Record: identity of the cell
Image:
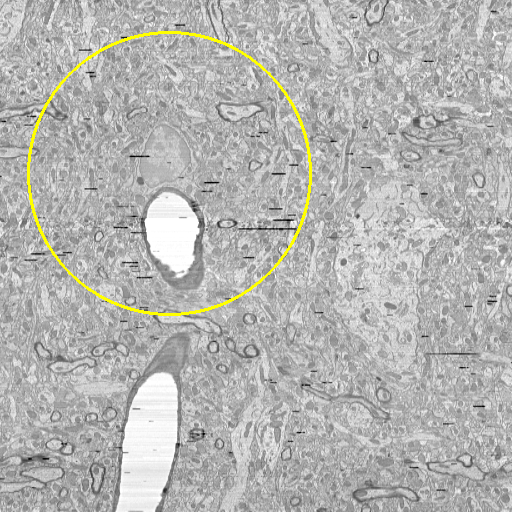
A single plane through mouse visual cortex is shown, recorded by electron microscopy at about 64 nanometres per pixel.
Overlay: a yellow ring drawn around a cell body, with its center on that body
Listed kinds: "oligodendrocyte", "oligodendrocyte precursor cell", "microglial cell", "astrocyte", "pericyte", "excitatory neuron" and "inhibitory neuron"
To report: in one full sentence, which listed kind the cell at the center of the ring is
In the image, the cell body at the ring's center belongs to a microglial cell.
